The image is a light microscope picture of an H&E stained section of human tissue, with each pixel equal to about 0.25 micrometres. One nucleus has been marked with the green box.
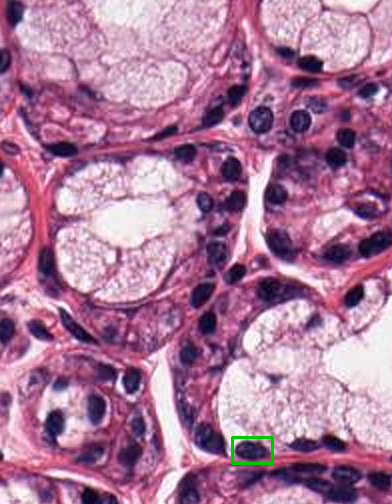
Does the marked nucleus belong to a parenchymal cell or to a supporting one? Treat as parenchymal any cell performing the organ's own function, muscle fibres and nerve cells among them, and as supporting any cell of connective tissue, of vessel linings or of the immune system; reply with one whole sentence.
The marked nucleus is attributed to a parenchymal cell, namely a mucous gland cell.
